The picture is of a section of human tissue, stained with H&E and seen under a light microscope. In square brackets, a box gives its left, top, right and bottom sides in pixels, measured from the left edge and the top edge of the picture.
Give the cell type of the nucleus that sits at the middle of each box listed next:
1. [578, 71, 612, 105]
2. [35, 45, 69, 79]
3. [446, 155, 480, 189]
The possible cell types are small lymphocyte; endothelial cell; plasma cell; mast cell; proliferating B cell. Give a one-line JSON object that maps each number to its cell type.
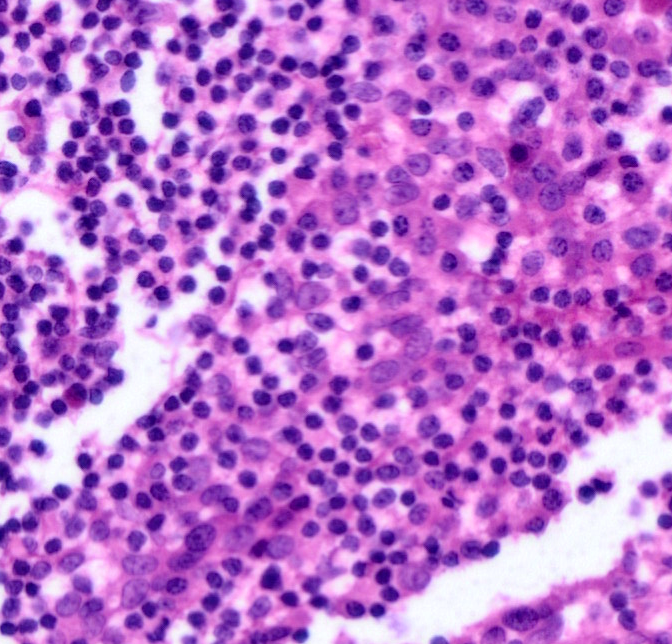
{"1": "plasma cell", "2": "small lymphocyte", "3": "plasma cell"}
